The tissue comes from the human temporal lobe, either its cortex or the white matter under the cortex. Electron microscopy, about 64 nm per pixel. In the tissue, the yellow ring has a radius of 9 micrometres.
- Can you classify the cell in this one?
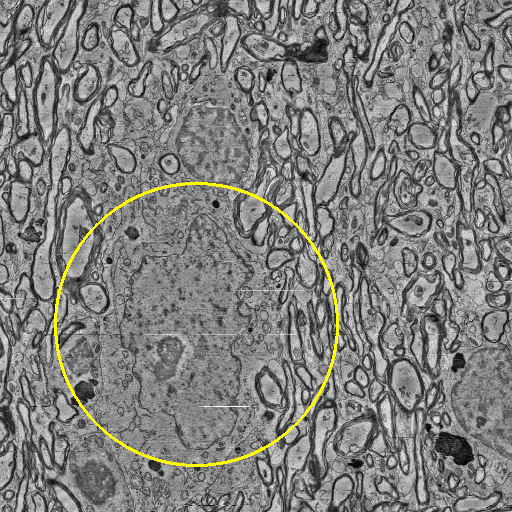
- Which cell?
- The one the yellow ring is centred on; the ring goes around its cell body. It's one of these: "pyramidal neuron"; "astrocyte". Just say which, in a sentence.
The cell body in the ring belongs to a pyramidal neuron.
